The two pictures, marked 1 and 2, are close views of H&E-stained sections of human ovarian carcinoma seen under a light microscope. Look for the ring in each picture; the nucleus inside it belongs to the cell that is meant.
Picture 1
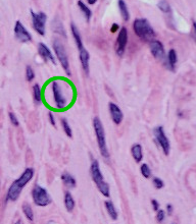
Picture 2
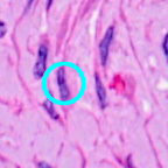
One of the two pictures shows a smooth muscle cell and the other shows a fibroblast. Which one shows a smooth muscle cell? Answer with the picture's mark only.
1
